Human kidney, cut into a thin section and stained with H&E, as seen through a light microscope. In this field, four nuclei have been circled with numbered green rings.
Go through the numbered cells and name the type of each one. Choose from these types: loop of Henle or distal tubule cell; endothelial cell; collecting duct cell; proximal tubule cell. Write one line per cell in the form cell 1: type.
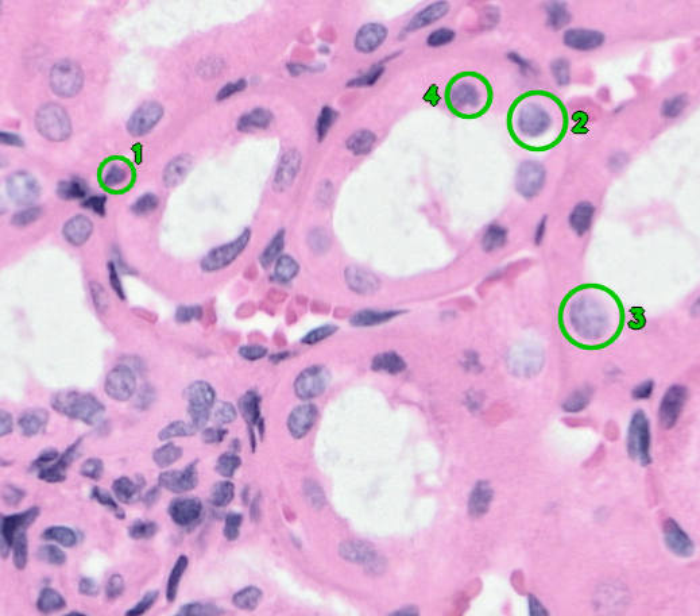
cell 1: endothelial cell
cell 2: loop of Henle or distal tubule cell
cell 3: loop of Henle or distal tubule cell
cell 4: loop of Henle or distal tubule cell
